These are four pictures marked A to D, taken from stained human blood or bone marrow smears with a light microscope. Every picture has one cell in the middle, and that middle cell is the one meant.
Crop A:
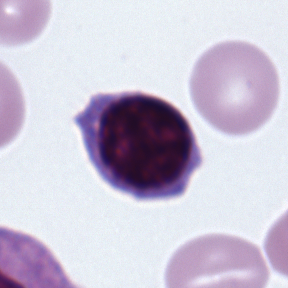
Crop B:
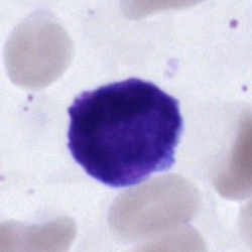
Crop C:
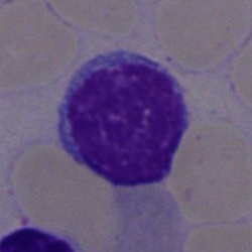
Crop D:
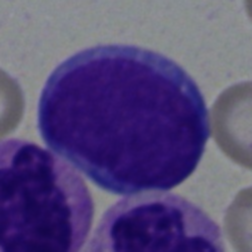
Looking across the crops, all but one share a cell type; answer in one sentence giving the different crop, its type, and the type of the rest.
Crop D differs, its cell being a blast, whereas the other crops show lymphocytes.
